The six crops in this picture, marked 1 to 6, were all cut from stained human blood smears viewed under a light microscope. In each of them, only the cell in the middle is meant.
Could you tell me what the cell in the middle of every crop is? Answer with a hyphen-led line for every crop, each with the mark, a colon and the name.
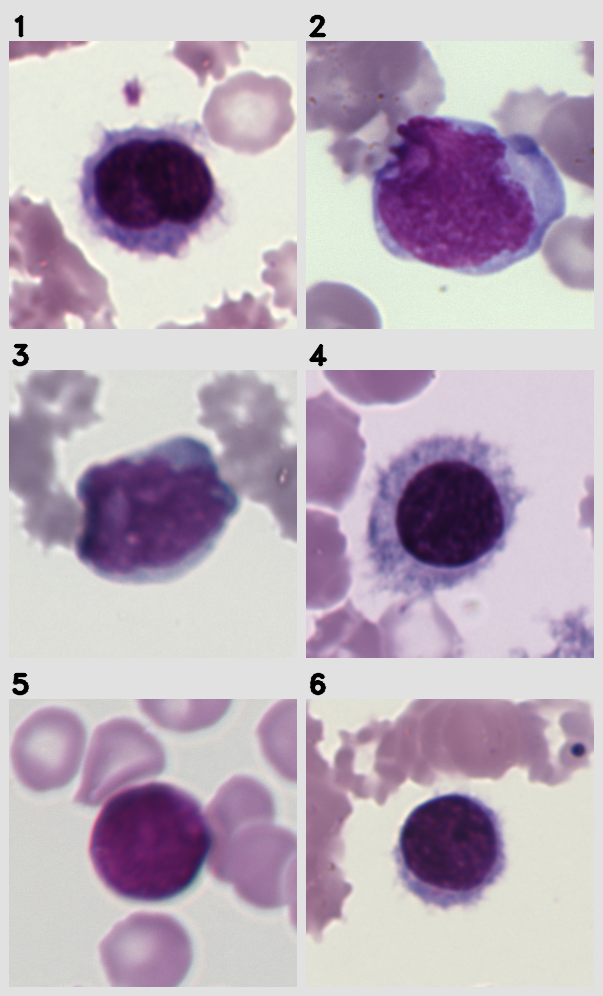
- 1: hairy cell
- 2: myeloblast
- 3: myeloblast
- 4: hairy cell
- 5: myeloblast
- 6: hairy cell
